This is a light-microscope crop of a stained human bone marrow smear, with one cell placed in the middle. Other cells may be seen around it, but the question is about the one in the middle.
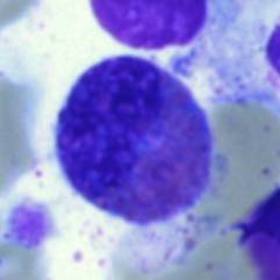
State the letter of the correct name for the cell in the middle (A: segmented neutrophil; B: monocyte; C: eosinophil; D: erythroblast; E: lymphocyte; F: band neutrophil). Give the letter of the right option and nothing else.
C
